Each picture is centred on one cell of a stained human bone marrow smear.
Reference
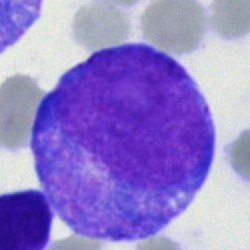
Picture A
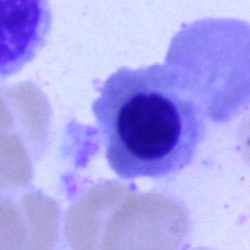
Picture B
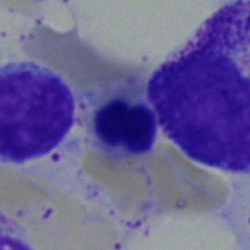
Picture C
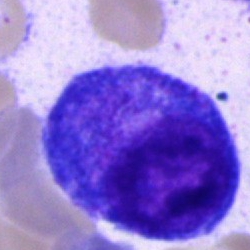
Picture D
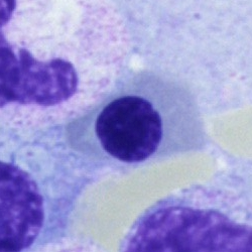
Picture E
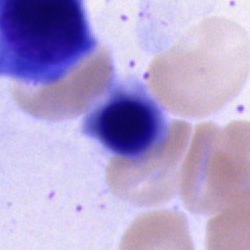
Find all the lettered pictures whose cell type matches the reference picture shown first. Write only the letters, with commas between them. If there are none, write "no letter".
C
